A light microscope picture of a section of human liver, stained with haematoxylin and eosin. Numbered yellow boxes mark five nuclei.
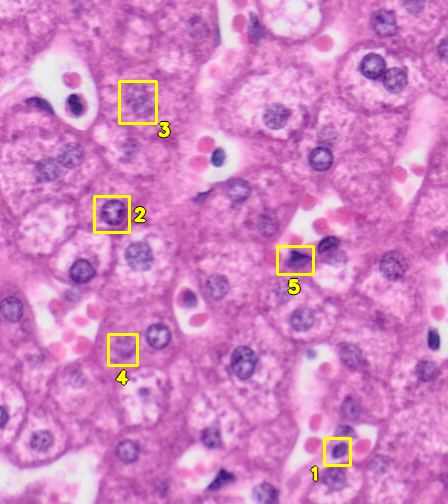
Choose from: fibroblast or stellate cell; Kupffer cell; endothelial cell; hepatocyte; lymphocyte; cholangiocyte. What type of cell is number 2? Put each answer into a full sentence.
Heads up, the cell numbered 2 is a hepatocyte.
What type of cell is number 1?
Identified as a lymphocyte is the cell bearing the number 1.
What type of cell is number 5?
It is as an endothelial cell that the cell numbered 5 is identified.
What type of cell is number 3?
It is as a hepatocyte that the cell numbered 3 is identified.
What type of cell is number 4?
The numbered cell 4 is identified here as a hepatocyte.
